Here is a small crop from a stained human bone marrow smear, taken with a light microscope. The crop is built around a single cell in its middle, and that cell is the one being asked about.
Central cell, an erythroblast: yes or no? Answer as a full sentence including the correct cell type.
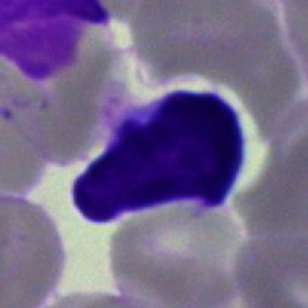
No, the label for the central cell is a lymphocyte, not an erythroblast.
